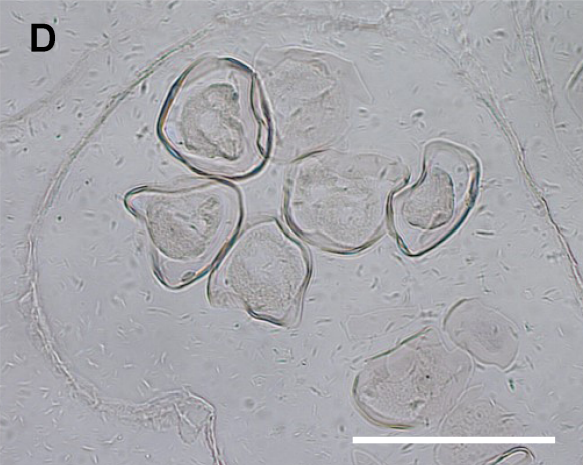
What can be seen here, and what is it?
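A single anther chamber seen in cross section, bounded by a thin wall, holds a cluster of free pollen grains. The grains are rounded to angular, with thick, refractile walls that appear as bright or dark outlines. Their contents are pale and finely granular, some shrunken away from the wall, and show no blue-purple colour. The grains lie close together near the middle of the chamber, with a few more toward its lower edge; the rest of the chamber space is clear.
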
